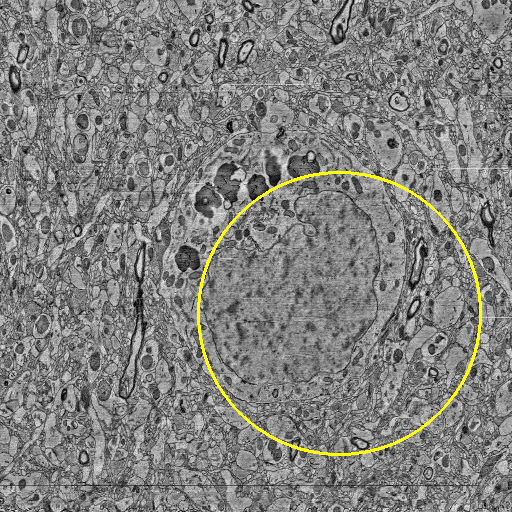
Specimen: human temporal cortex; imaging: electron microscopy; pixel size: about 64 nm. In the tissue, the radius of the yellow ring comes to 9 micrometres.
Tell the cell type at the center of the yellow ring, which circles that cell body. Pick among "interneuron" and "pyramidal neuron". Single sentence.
The ring is centered on the body of an interneuron.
